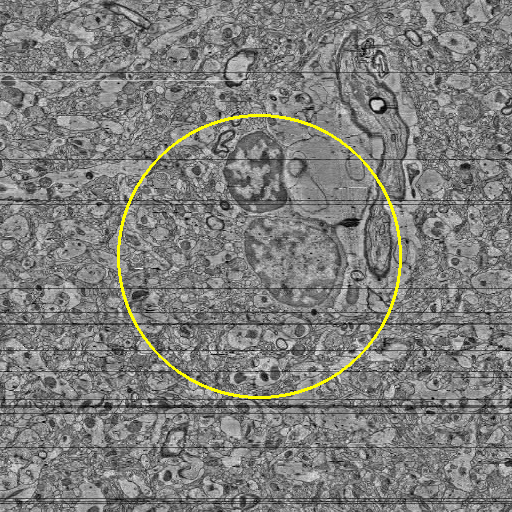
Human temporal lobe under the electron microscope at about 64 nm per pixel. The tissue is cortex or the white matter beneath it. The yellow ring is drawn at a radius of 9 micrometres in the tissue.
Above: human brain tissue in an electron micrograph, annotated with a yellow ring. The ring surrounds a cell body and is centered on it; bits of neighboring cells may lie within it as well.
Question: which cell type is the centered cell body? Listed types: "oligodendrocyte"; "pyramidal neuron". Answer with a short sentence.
The centered cell body is an oligodendrocyte.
